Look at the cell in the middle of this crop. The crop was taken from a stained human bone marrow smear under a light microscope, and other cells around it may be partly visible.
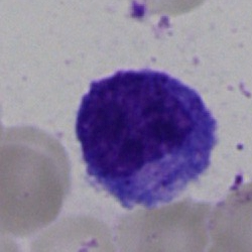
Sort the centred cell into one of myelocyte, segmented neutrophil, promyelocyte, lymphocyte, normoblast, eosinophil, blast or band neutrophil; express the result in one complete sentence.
The cell centred in this crop is categorized as a promyelocyte.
